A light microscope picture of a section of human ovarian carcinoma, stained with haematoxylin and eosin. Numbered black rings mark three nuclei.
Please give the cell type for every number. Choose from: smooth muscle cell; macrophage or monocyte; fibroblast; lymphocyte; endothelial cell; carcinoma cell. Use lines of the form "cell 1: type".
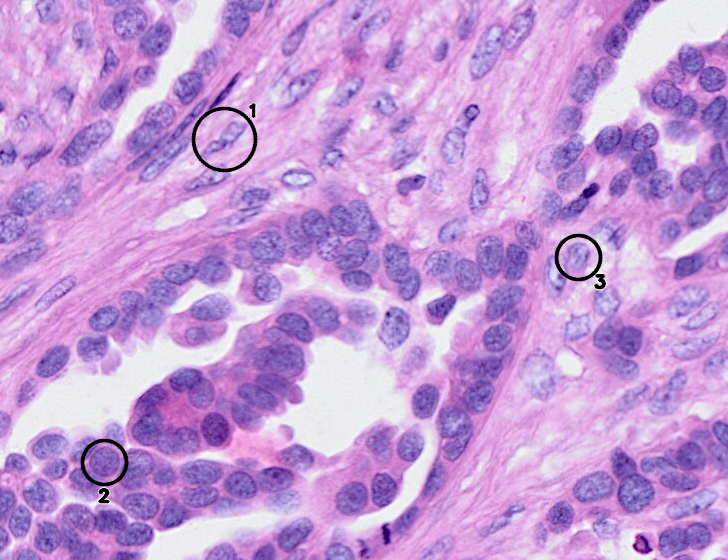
cell 1: fibroblast
cell 2: carcinoma cell
cell 3: fibroblast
